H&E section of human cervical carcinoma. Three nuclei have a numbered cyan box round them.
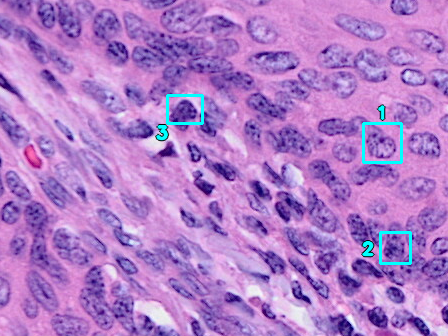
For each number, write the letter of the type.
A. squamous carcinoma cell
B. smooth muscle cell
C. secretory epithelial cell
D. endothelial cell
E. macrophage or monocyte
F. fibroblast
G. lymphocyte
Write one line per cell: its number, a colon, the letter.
1: A
2: A
3: G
